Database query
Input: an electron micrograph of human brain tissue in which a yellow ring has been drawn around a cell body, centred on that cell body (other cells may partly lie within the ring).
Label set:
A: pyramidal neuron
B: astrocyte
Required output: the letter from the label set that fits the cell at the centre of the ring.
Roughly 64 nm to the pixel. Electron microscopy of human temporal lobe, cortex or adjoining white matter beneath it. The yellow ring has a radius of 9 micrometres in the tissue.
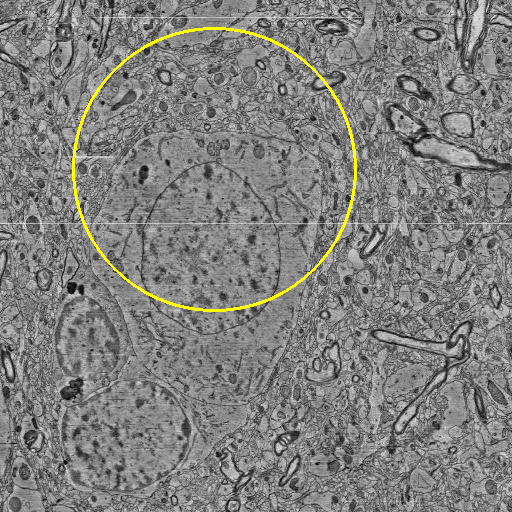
A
